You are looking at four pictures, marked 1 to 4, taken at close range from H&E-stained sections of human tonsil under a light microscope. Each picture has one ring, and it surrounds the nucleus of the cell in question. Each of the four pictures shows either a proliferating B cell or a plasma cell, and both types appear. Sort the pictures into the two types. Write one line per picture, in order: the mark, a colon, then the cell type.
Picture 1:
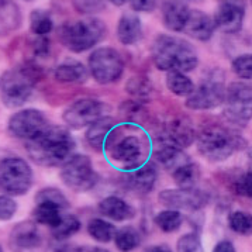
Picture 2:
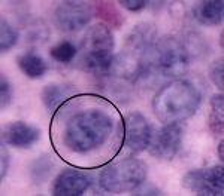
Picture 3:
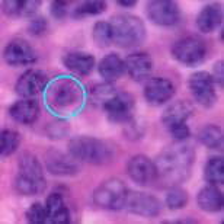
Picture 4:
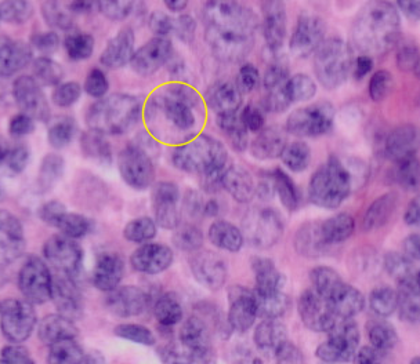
1: proliferating B cell
2: proliferating B cell
3: plasma cell
4: proliferating B cell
